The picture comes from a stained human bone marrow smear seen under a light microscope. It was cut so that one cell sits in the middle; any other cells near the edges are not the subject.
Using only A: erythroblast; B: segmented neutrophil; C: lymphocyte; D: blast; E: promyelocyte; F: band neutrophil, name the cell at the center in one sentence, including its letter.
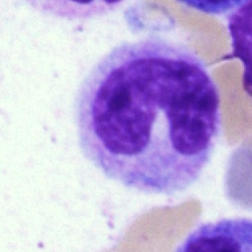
Option F is correct here, and the cell in the middle is a band neutrophil.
